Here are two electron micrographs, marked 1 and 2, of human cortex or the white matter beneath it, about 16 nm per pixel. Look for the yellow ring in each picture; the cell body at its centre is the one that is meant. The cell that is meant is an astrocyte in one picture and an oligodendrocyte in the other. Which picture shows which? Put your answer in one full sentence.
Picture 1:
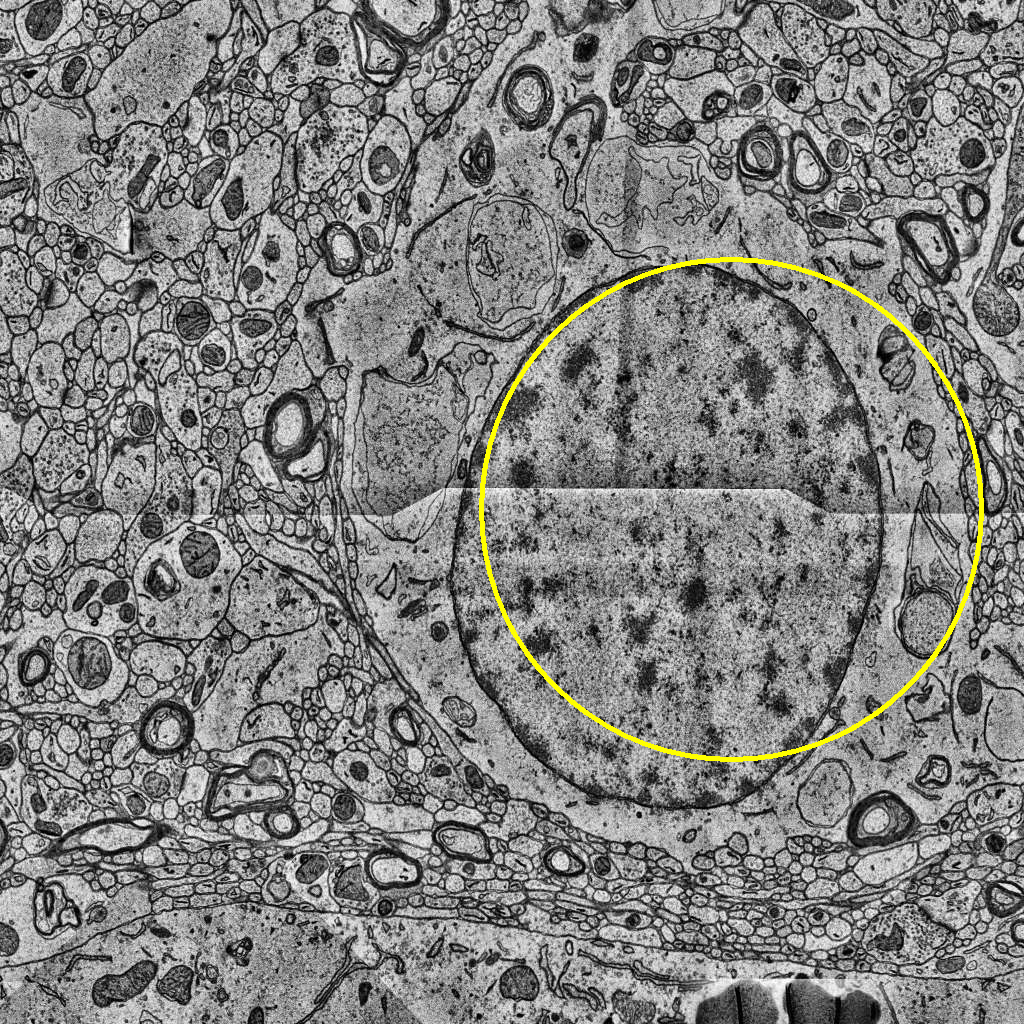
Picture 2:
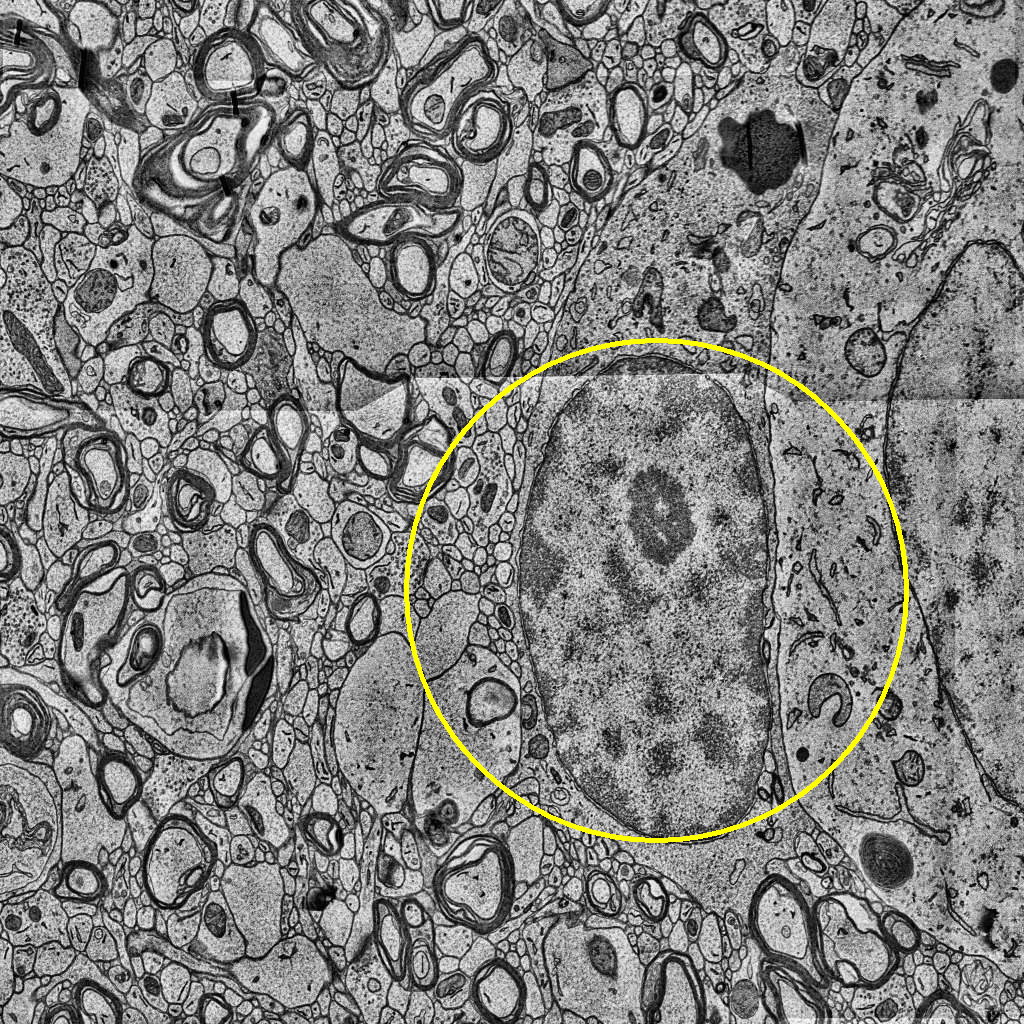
In picture 1 the cell is an astrocyte; in picture 2, an oligodendrocyte.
